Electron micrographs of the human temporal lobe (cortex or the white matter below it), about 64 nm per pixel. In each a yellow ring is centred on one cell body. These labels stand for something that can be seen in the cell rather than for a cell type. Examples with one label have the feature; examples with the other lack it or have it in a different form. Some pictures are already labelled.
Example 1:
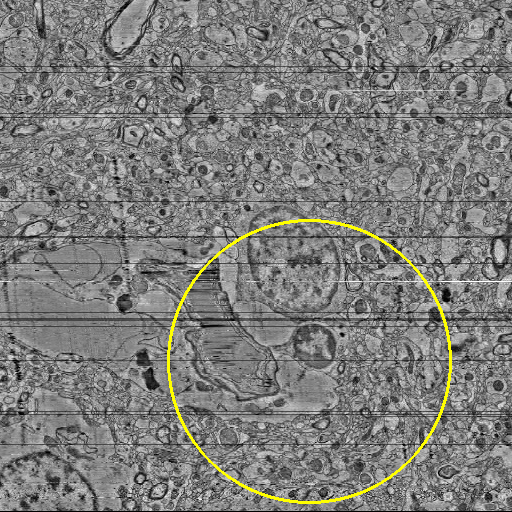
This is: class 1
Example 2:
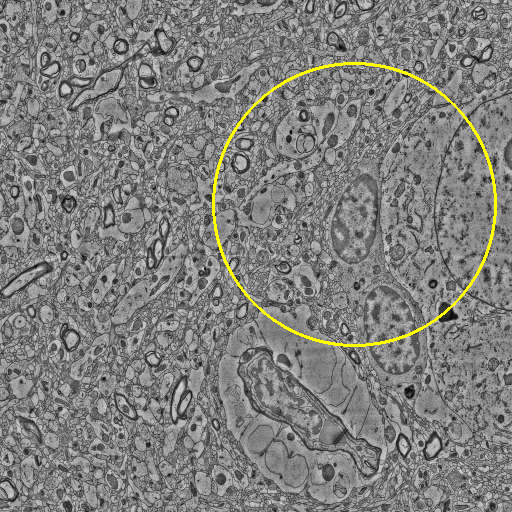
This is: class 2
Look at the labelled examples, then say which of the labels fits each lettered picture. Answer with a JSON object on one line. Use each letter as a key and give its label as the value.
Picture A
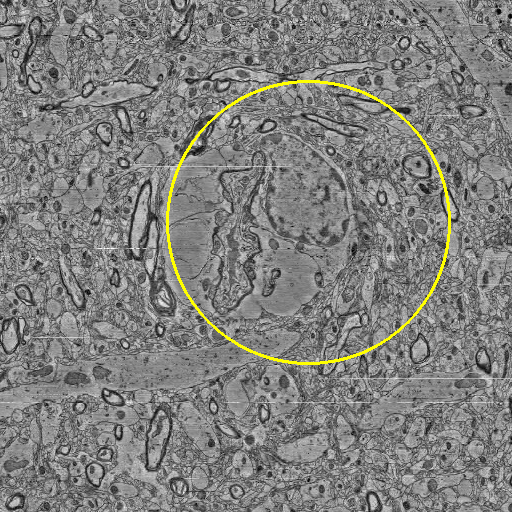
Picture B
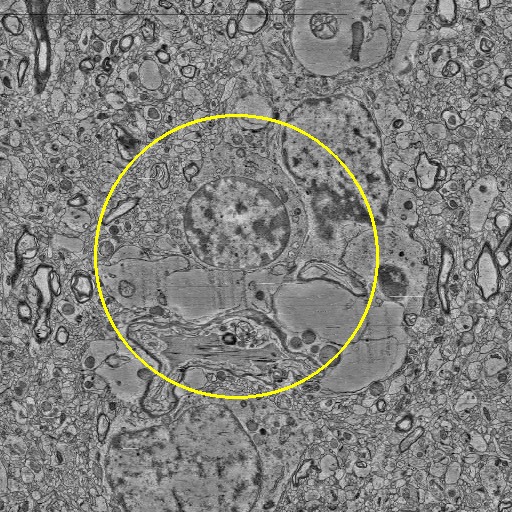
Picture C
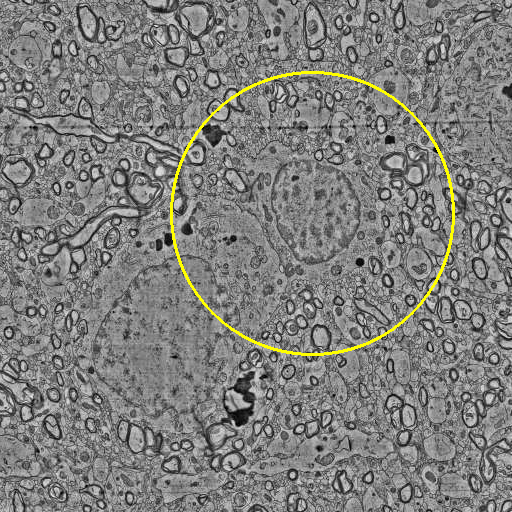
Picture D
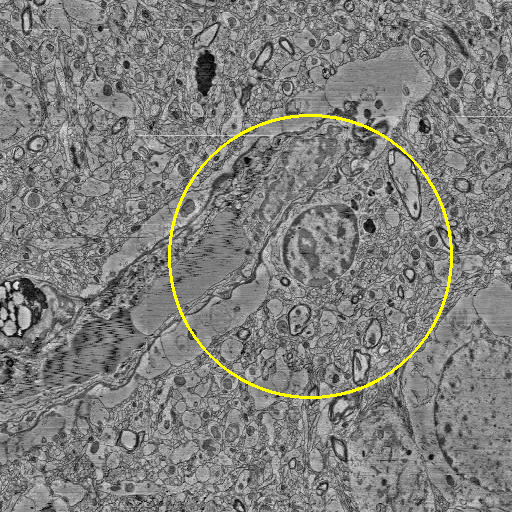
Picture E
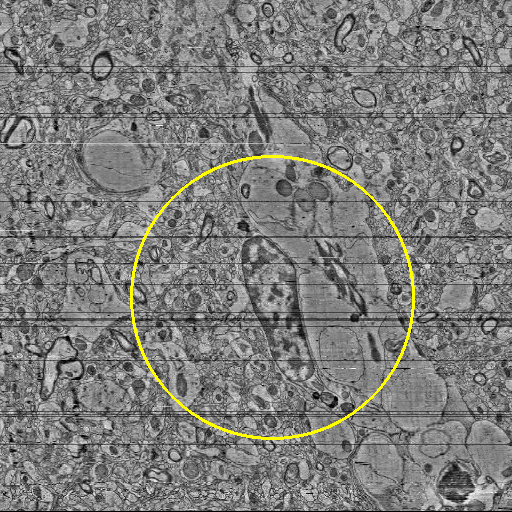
{"A": "class 1", "B": "class 1", "C": "class 1", "D": "class 1", "E": "class 2"}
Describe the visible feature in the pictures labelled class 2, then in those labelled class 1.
In class 2: clearly elongated nuclei. In class 1: round or nearly round nuclei.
